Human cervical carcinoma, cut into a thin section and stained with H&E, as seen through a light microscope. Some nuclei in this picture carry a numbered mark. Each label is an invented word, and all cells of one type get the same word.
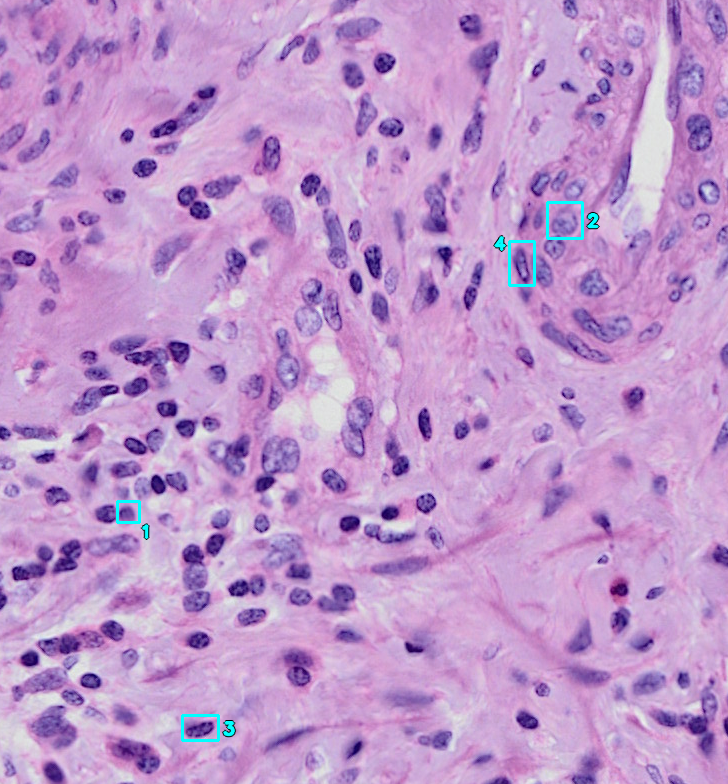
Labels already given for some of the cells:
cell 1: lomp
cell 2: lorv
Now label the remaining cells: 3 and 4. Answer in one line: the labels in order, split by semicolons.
lomp; lorv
